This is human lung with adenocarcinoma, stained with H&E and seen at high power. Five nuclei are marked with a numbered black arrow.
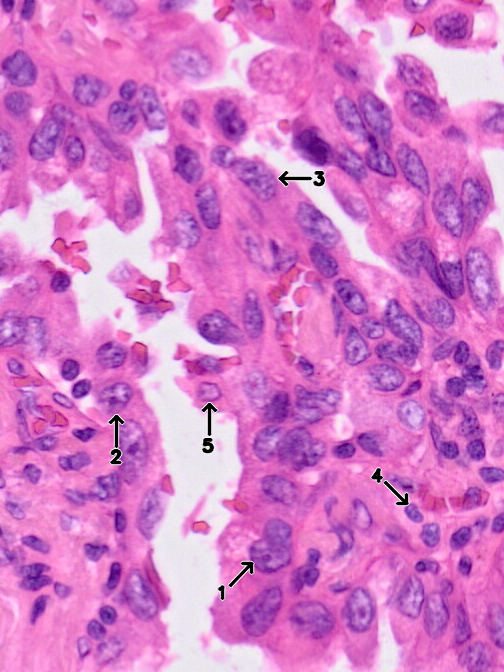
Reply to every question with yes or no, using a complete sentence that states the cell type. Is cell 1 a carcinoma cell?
Yes, with respect to number 1, the cell is a carcinoma cell.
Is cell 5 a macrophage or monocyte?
Yes, the cell with number 5 is a macrophage or monocyte.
